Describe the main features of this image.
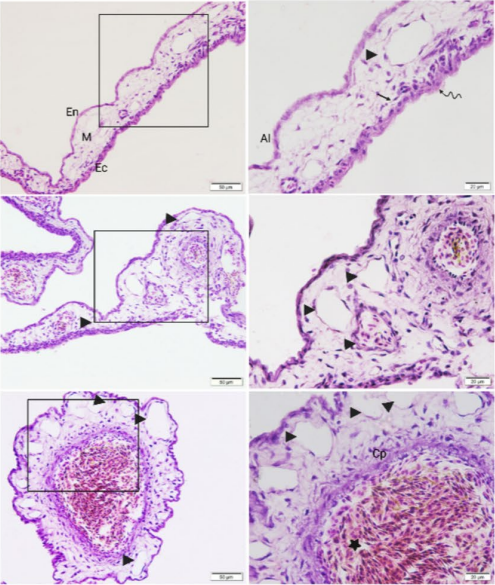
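Chorioallantoic membrane in H&E, shown at low and high magnification. The membrane is a thin sheet lined on both faces by flat to cuboidal epithelial layers, with loose, pale mesenchyme between them. Arrowheads point to thin-walled vessels within the mesenchyme. Some vessels hold red blood cells. In the lower row it is thickened around a dense, deeply stained mass of closely packed cells with pink cytoplasm and purple nuclei. A fibrous, layered rim surrounds this mass, and many vessels sit in the loose tissue outside the rim.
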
